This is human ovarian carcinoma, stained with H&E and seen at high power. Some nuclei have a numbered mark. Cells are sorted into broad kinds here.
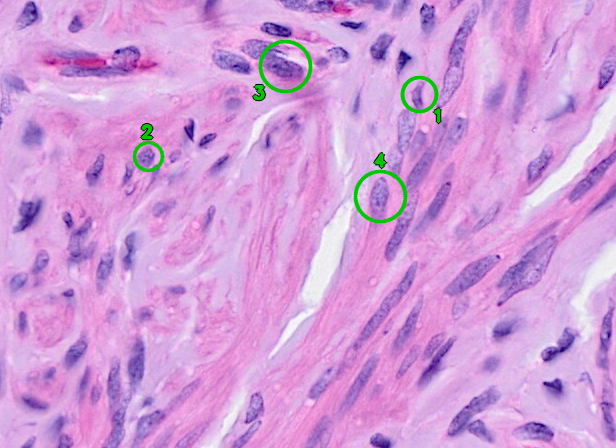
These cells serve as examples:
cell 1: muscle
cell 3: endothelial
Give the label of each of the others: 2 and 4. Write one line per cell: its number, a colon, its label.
2: muscle
4: muscle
